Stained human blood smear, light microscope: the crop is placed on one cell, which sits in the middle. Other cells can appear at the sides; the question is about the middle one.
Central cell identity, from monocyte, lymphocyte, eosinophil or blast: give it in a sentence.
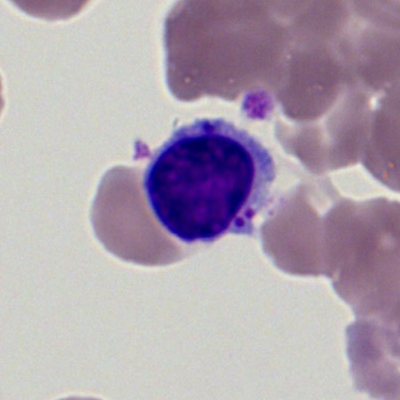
Standing at the centre of this crop is a lymphocyte.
